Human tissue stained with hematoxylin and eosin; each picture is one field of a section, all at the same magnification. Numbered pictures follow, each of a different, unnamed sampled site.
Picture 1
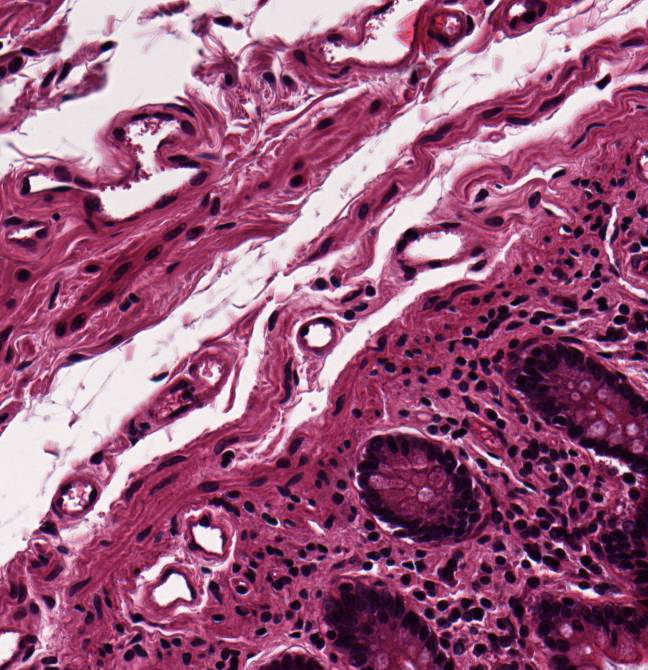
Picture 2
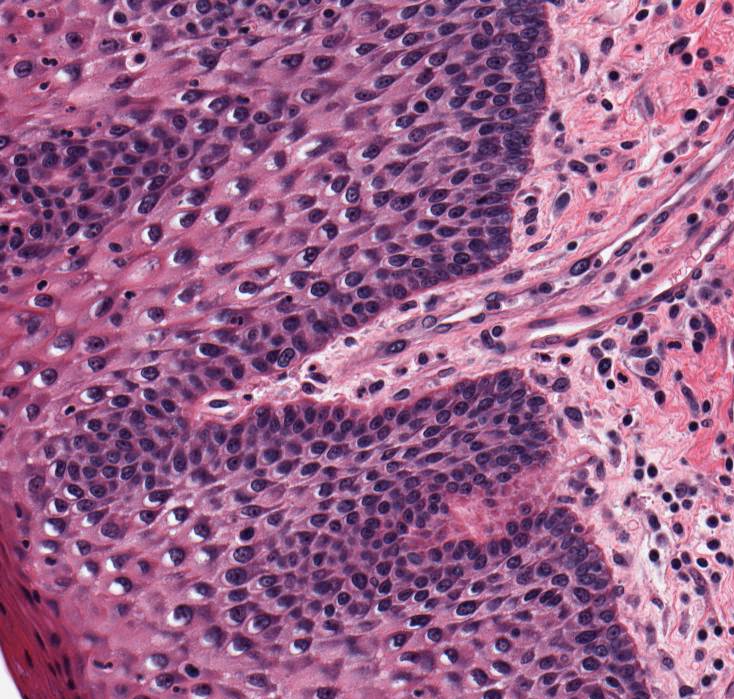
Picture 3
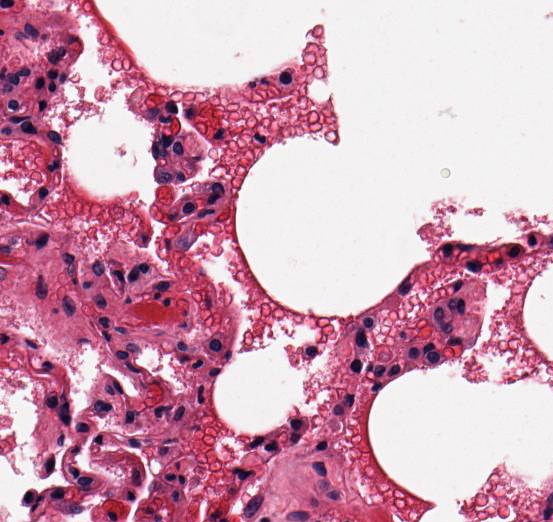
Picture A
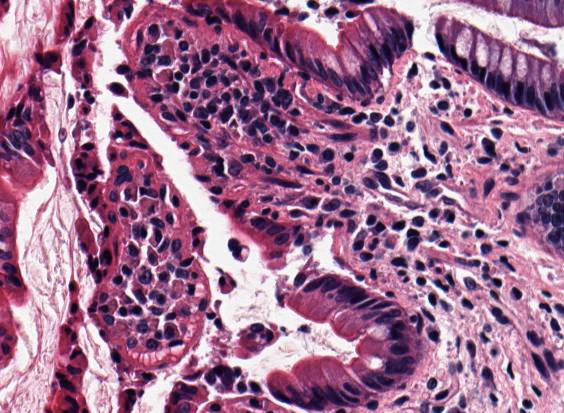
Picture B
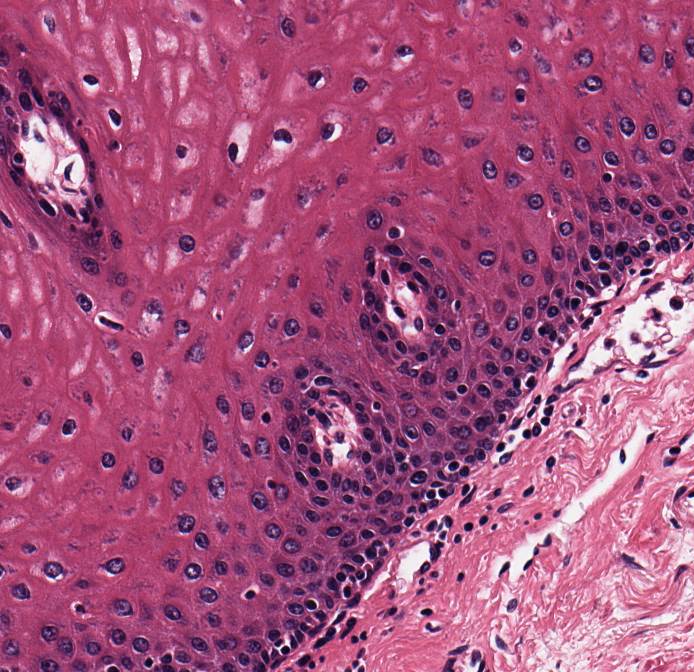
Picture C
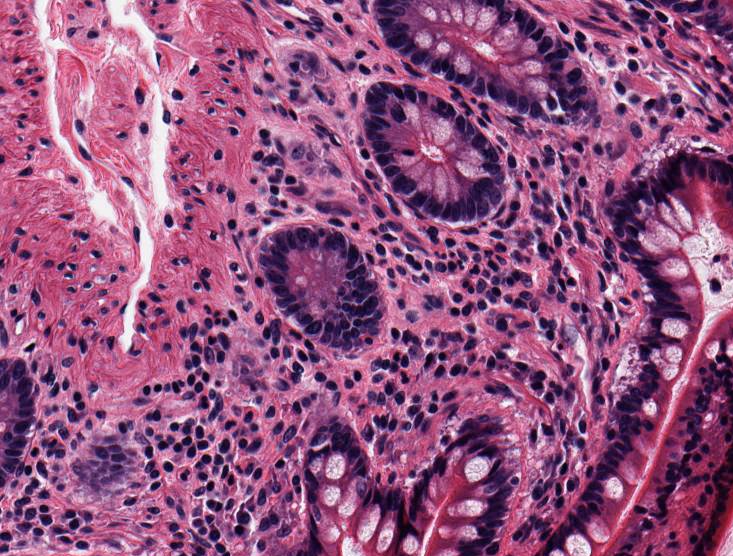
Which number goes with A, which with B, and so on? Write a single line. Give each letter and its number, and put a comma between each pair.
A 1, B 2, C 1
